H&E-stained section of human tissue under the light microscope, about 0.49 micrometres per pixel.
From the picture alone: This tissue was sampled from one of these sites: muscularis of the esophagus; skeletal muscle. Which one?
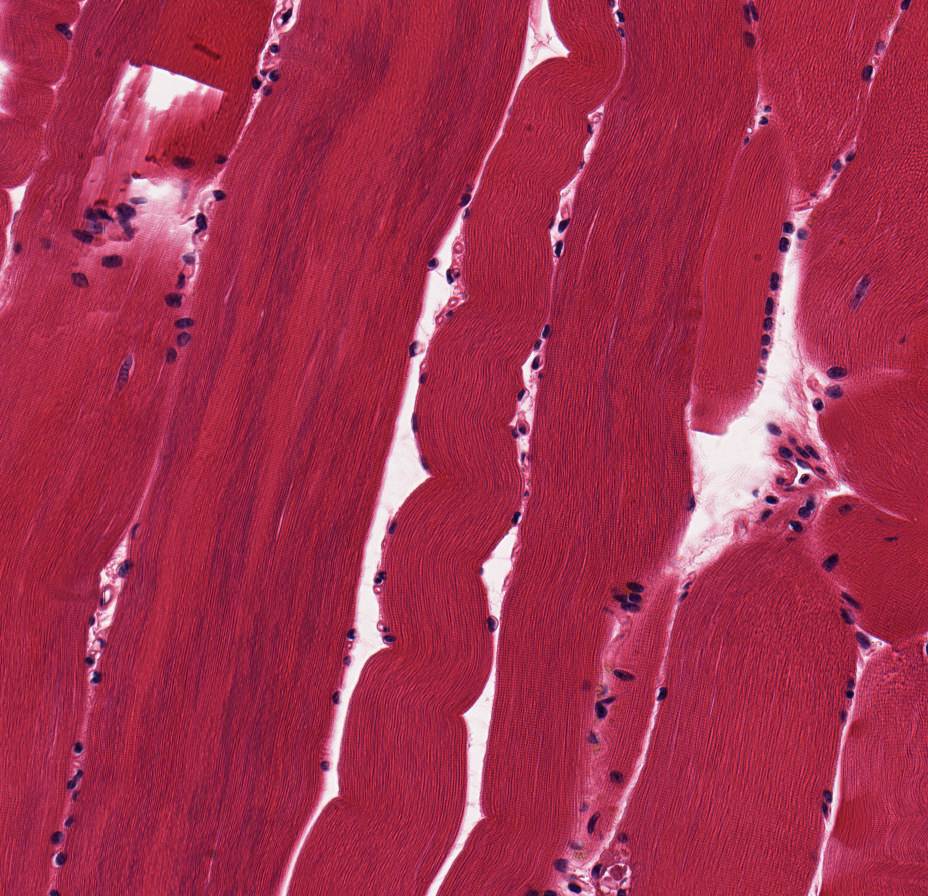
skeletal muscle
